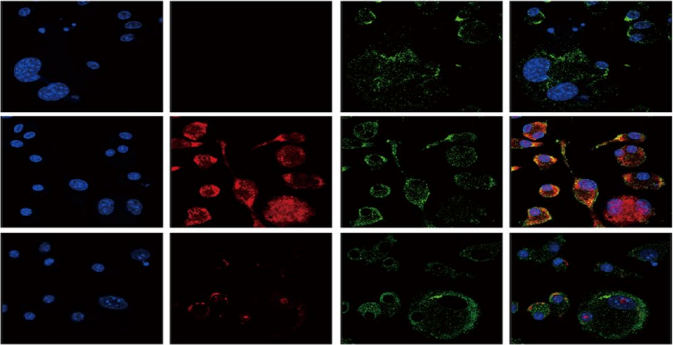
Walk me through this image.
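This is a grid of fluorescence images of cultured cells. Each row shows the same field in separate channels and then merged. The cells are scattered singly, with round to oval blue nuclei. The green signal is fine and punctate, spread through the cytoplasm around the nucleus and outlining the rounded cell bodies. In the middle row the red signal fills the cytoplasm of many cells, and in the merged view it overlaps the green as orange-yellow. In the bottom row the red is faint and patchy, and the green stands out around larger, rounded cells.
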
